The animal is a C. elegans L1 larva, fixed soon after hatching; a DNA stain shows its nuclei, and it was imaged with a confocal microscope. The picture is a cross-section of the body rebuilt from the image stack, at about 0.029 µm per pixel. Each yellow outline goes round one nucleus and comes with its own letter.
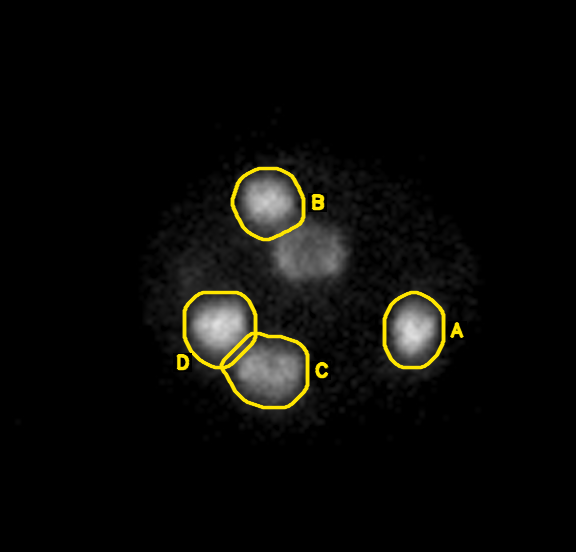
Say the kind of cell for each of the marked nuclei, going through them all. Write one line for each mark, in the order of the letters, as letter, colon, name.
A: body wall muscle cell
B: seam cell
C: seam cell
D: body wall muscle cell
